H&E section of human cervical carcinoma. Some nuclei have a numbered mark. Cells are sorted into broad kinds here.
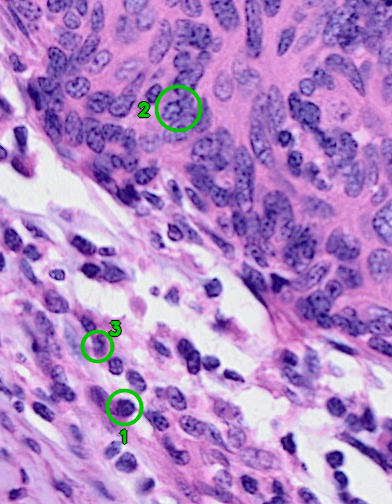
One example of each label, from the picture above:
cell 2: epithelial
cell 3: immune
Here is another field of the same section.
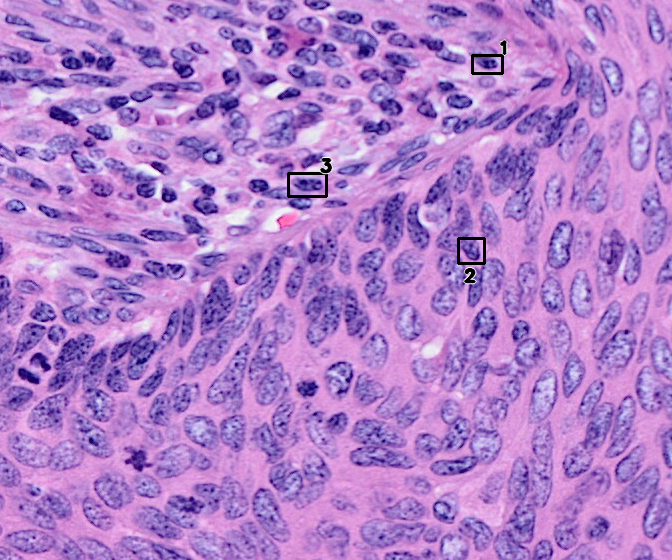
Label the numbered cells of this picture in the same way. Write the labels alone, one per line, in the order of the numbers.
immune
epithelial
immune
